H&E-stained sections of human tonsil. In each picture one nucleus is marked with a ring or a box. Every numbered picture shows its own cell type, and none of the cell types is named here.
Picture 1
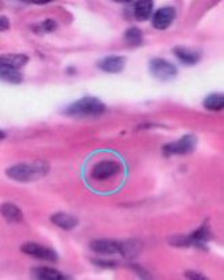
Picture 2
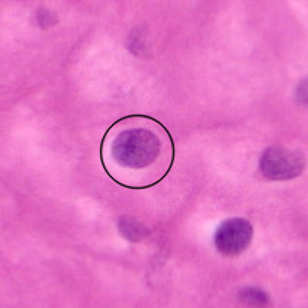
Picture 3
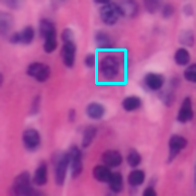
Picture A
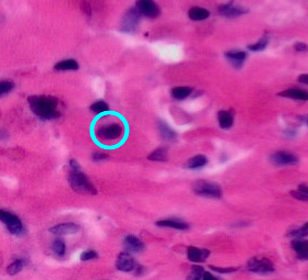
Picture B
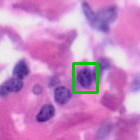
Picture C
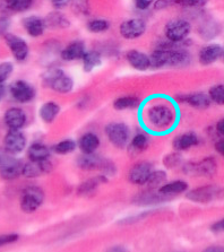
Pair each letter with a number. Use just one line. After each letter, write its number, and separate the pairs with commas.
A 1, B 3, C 3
